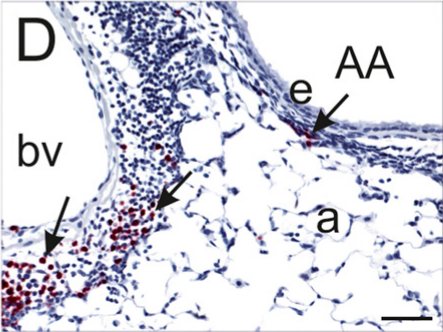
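The airway is lined by a thin epithelium of cuboidal cells with blue nuclei. Beneath it and alongside the thin-walled vessel a broad band of densely packed small round cells with dark blue nuclei widens the interstitium. Red-stained cells gather in a thick cluster against the vessel wall and extend along the band; a few lie beneath the epithelium. Thin-walled alveoli with sparse nuclei lie to the side.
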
